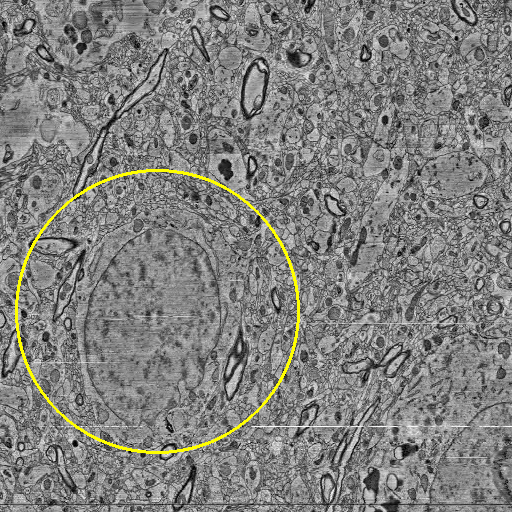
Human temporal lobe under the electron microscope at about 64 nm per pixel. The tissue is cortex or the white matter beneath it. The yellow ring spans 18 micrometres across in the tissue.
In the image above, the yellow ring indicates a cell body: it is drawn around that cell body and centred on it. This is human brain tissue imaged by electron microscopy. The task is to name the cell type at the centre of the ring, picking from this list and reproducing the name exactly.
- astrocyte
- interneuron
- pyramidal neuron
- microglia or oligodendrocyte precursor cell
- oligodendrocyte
interneuron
